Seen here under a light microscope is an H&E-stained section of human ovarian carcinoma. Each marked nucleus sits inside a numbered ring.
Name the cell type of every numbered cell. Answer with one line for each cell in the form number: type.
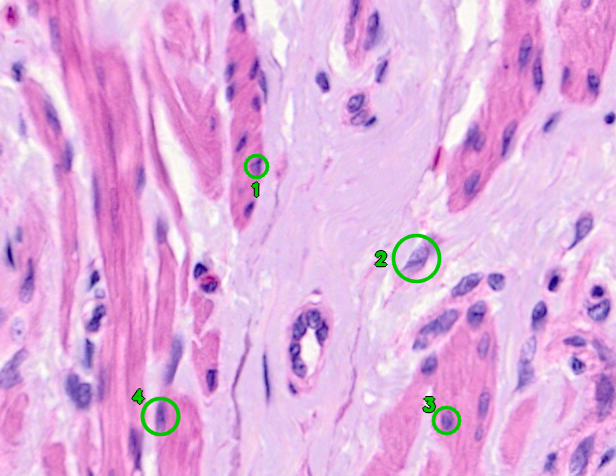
1: smooth muscle cell
2: fibroblast
3: smooth muscle cell
4: smooth muscle cell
